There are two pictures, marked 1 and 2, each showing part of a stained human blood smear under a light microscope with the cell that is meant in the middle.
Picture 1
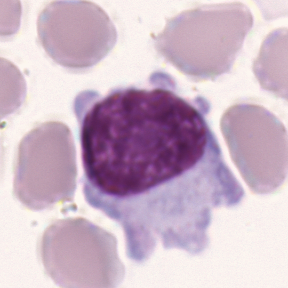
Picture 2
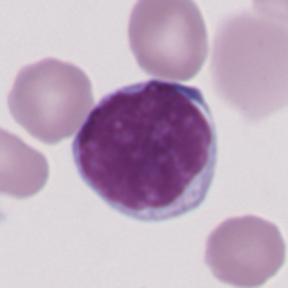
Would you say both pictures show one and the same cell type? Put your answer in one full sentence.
No, they differ: the cell is a plasma cell in picture 1 and a typical lymphocyte in picture 2.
